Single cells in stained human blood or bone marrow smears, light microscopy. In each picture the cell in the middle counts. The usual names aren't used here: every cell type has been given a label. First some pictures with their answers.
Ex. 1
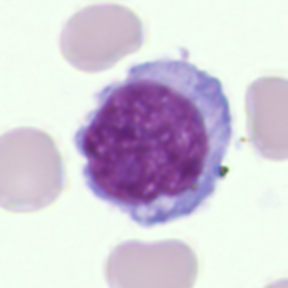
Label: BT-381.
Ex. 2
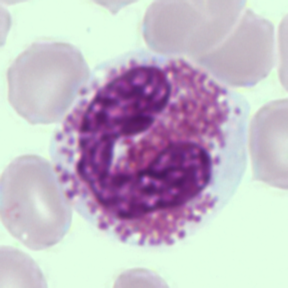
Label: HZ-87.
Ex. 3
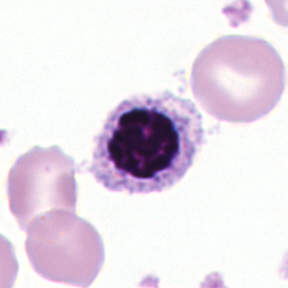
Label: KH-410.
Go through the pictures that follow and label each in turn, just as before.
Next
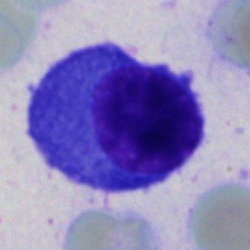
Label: BT-381.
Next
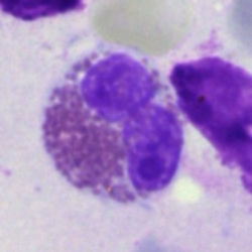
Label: HZ-87.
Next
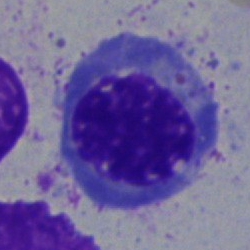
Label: KH-410.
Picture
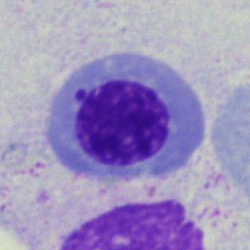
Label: KH-410.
